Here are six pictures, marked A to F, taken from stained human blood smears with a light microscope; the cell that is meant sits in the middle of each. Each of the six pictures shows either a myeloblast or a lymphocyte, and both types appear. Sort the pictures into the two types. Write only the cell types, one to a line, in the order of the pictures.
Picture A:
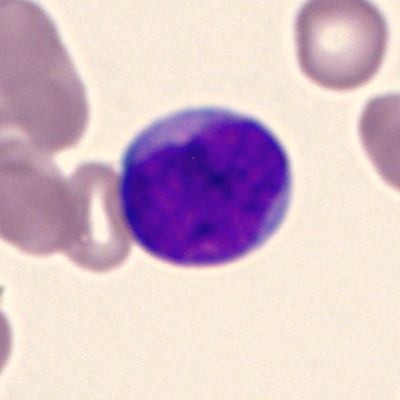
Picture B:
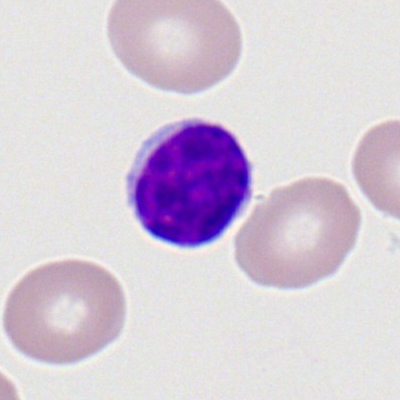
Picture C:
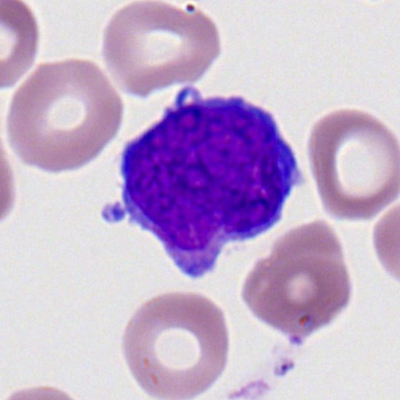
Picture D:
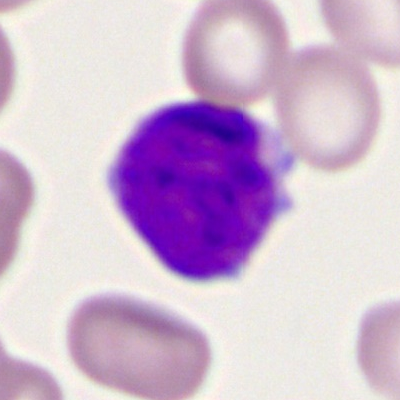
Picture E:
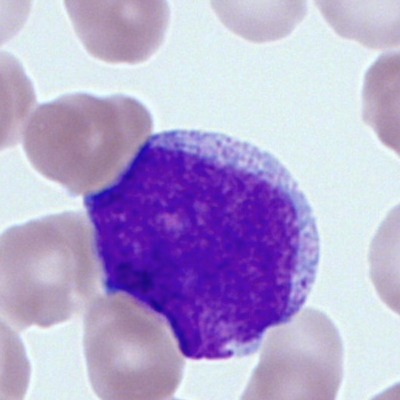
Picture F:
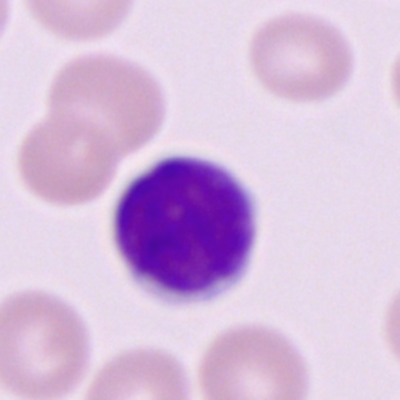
myeloblast
lymphocyte
myeloblast
myeloblast
myeloblast
lymphocyte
